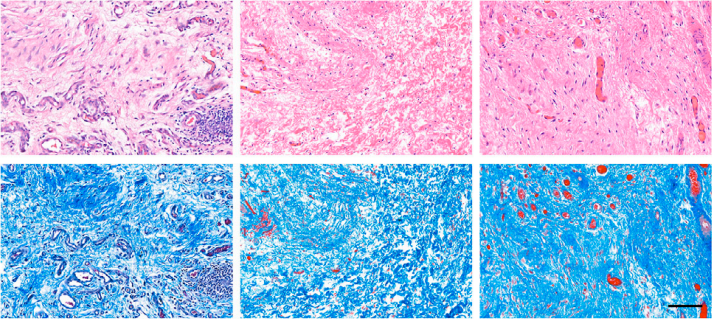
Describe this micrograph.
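The tissue consists of fibres with scattered spindle-shaped nuclei, and the fibres stain blue with the trichrome stain. Vessel-like lumens of varying diameter lie within it, and some are filled with red-staining erythrocytes. One image also contains a dense cluster of small, dark, round nuclei, consistent with inflammatory cell infiltration.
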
